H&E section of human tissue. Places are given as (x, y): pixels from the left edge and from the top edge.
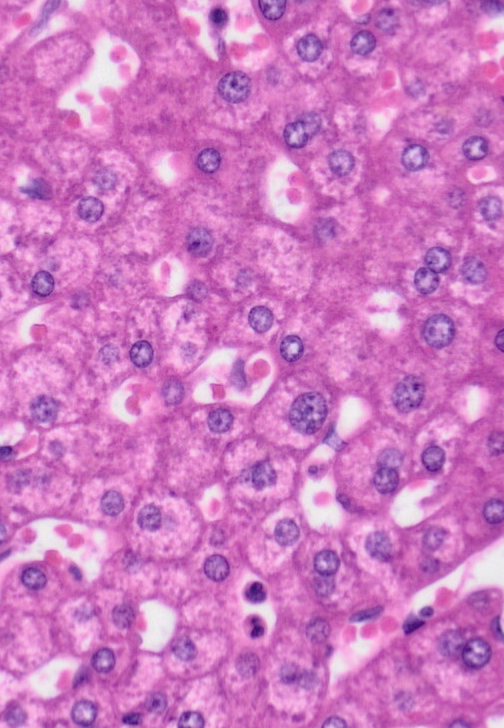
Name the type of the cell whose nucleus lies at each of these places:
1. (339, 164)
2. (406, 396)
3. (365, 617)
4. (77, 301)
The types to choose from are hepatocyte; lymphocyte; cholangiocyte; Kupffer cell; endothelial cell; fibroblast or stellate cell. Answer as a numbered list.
1. hepatocyte
2. hepatocyte
3. endothelial cell
4. hepatocyte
